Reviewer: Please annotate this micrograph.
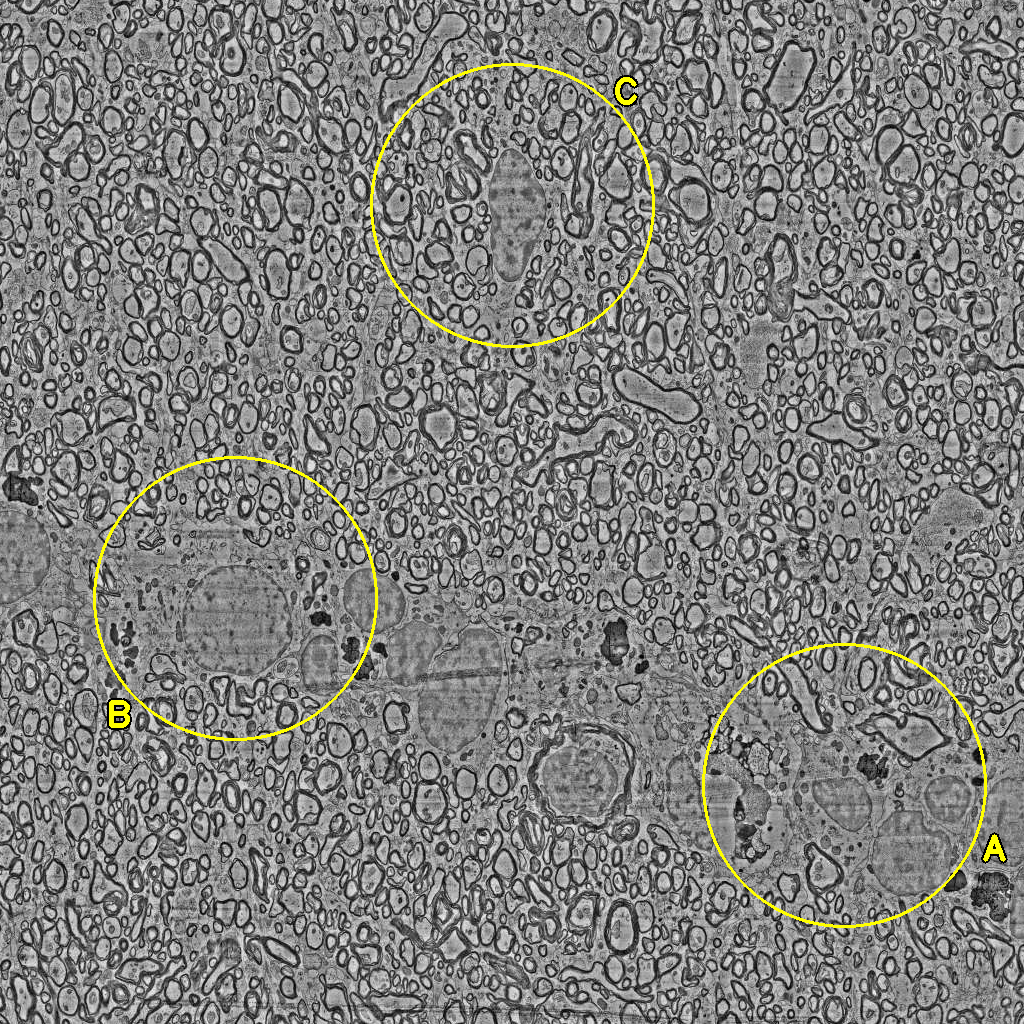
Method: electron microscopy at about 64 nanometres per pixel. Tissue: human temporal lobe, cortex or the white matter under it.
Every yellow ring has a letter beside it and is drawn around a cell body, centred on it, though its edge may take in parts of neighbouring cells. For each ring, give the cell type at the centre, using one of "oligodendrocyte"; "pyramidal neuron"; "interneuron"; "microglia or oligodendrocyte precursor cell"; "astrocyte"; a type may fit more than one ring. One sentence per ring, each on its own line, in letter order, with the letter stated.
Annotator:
The cell in the middle of ring A is an oligodendrocyte.
The cell in the middle of ring B is an astrocyte.
The cell in the middle of ring C is a microglial cell or oligodendrocyte precursor cell.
